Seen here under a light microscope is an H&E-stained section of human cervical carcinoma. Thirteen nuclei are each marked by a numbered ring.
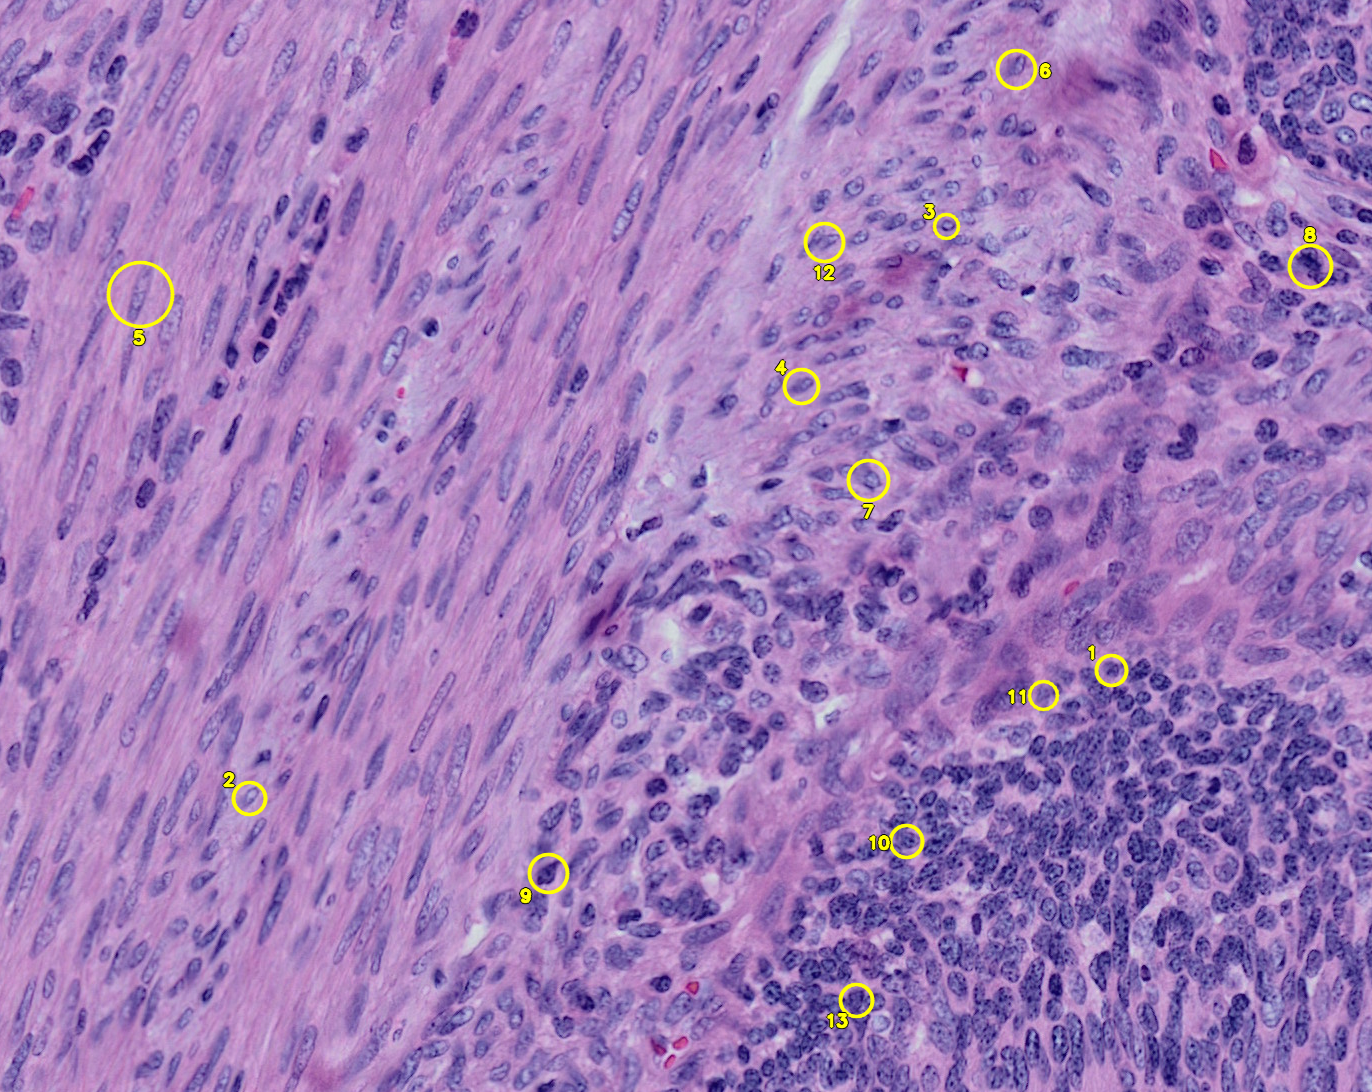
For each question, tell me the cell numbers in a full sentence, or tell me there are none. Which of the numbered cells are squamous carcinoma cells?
The cells numbered 1, 10, 11 and 13 fall into the category of squamous carcinoma cells.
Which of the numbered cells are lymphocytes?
The cells numbered 8 and 9 are identified as lymphocytes.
